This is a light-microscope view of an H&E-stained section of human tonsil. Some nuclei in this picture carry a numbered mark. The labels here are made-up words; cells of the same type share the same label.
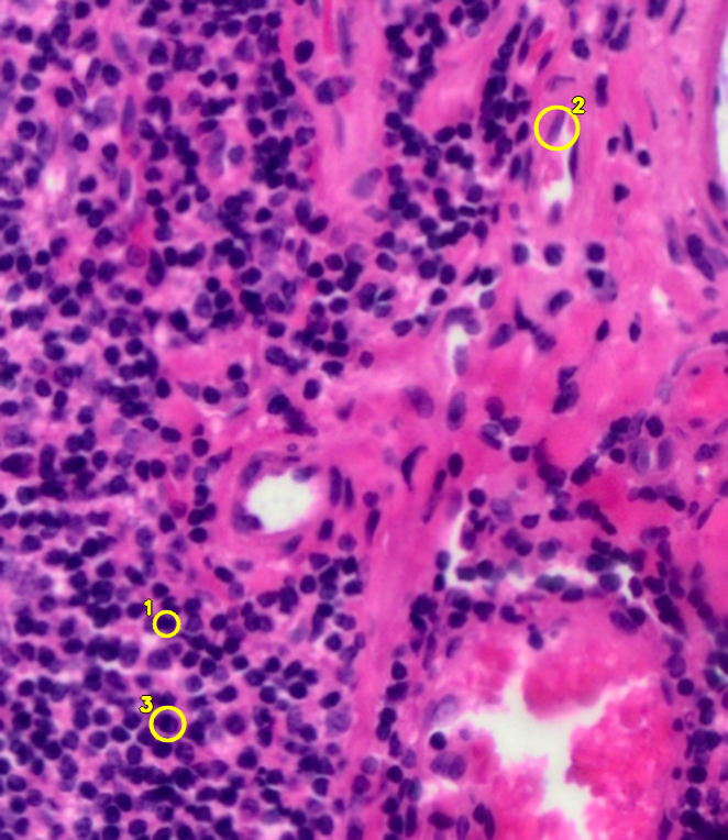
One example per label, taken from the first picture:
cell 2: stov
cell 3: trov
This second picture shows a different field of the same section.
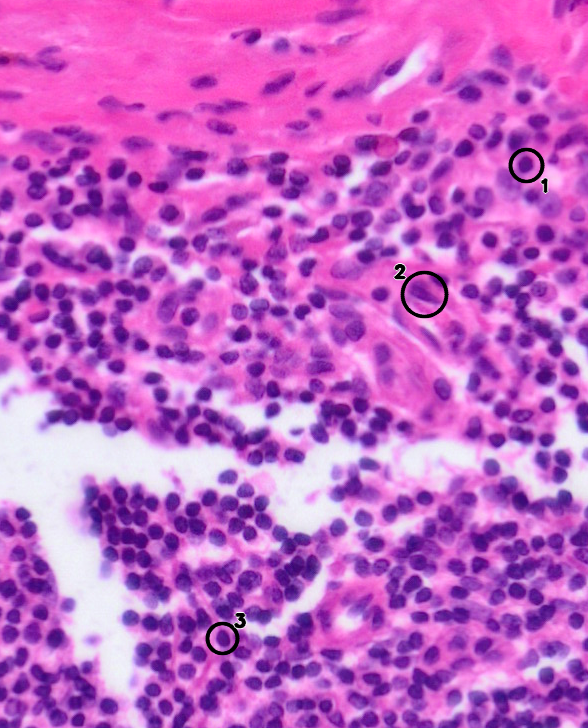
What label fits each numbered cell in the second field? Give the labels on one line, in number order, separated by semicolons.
stov; stov; trov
